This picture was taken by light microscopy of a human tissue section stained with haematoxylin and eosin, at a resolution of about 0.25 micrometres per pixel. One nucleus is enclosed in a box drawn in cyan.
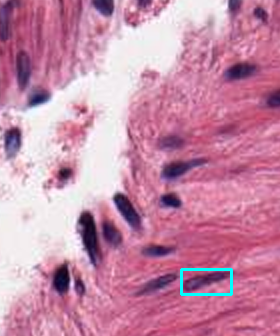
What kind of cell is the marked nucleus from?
smooth muscle cell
